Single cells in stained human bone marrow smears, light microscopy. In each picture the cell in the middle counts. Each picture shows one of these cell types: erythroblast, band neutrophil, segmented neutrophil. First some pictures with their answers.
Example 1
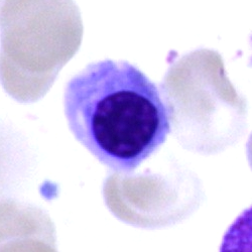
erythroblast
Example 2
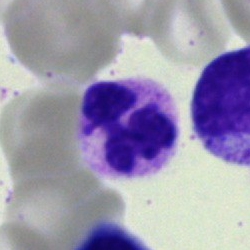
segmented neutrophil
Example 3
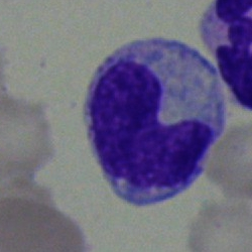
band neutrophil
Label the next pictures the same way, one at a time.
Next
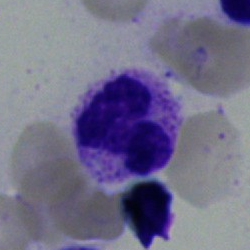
segmented neutrophil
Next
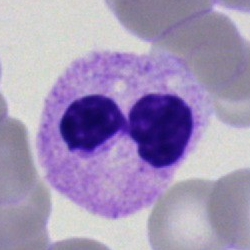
segmented neutrophil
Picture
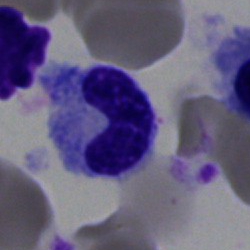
band neutrophil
